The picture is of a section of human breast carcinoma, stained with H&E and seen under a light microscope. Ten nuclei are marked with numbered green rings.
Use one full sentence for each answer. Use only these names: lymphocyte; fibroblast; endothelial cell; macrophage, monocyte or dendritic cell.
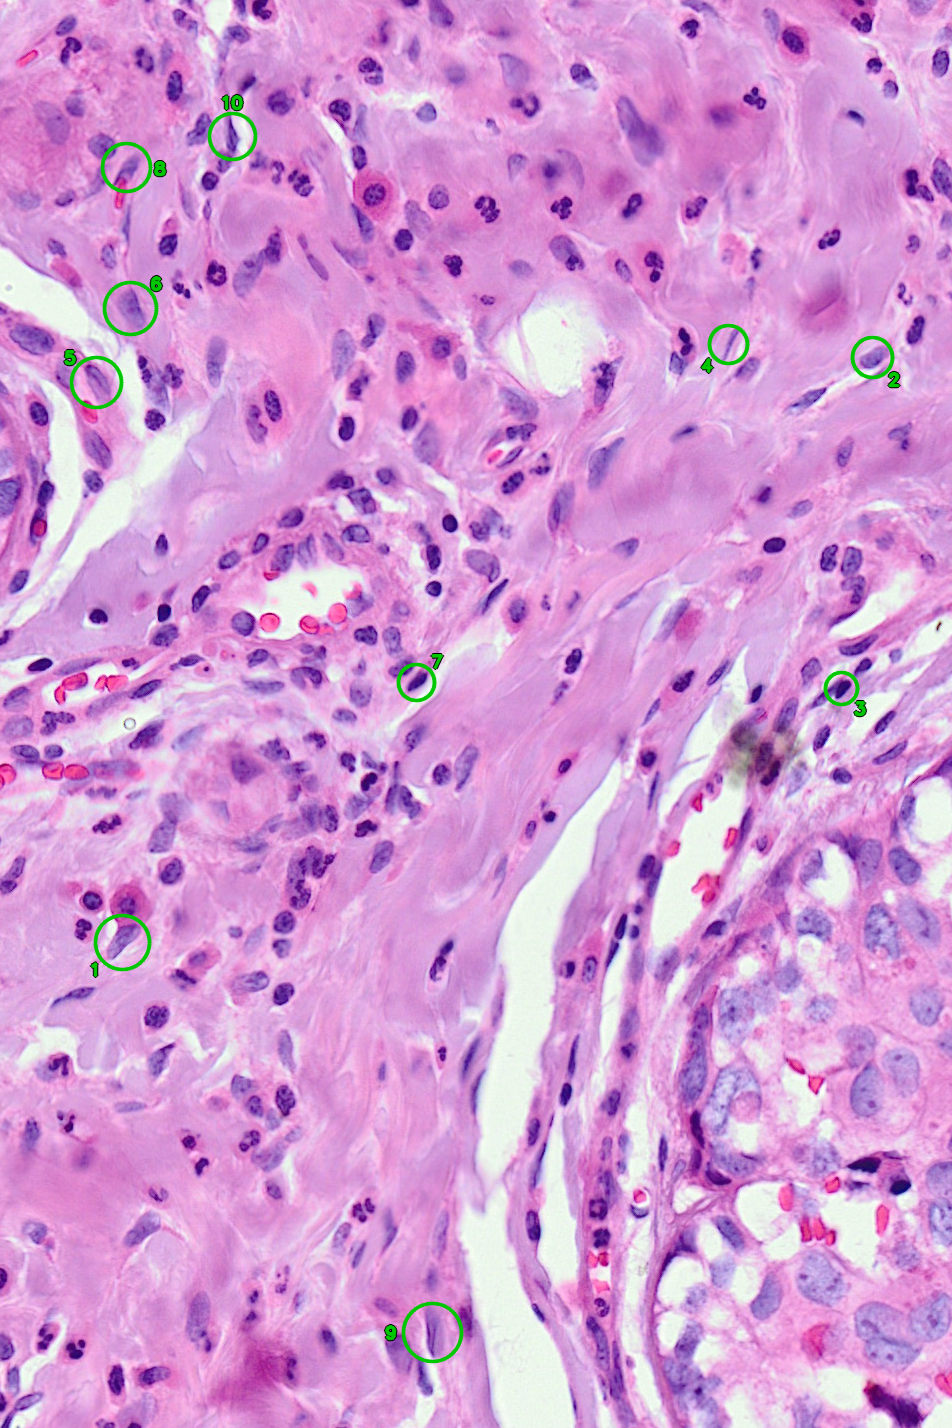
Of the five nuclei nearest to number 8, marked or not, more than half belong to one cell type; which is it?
Fibroblasts account for more than half of the five nuclei nearest to number 8.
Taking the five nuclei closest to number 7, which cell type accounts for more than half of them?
Macrophages, monocytes or dendritic cells account for more than half of the five nuclei nearest to number 7.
